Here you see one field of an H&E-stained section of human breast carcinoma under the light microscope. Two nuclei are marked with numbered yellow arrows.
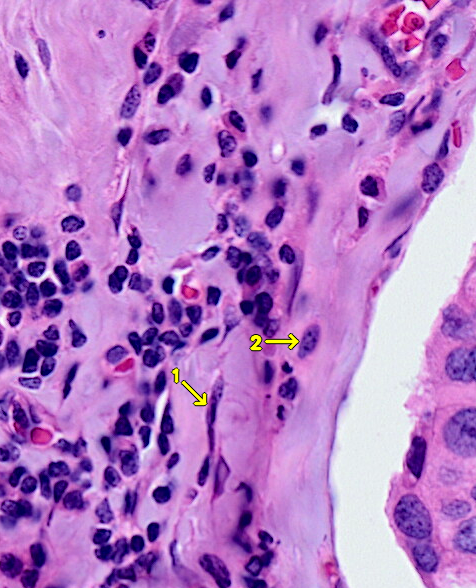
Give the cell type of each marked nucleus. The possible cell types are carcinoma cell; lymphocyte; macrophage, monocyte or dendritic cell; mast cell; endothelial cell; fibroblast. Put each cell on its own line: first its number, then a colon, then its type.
1: fibroblast
2: mast cell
